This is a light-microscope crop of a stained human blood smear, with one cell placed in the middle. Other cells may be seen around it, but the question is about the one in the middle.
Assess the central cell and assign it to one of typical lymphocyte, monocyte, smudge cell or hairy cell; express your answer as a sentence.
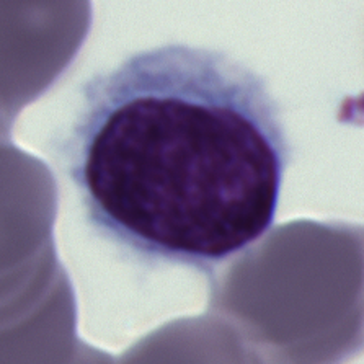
The cell sitting right in the middle is a hairy cell.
